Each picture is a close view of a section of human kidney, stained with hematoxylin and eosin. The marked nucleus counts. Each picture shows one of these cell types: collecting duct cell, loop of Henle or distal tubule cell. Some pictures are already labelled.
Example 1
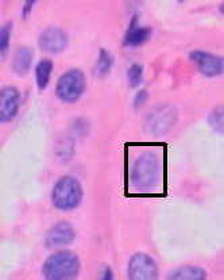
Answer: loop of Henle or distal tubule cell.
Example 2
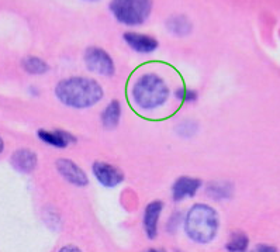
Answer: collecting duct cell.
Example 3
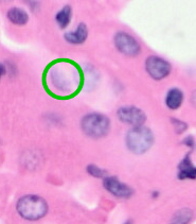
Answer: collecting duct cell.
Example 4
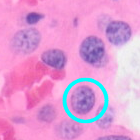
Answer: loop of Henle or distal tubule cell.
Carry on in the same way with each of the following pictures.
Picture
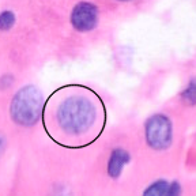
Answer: loop of Henle or distal tubule cell.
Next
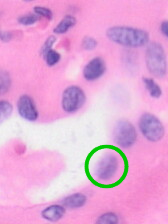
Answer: collecting duct cell.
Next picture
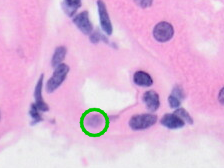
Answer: collecting duct cell.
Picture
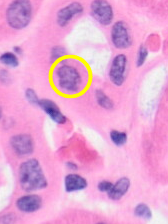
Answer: collecting duct cell.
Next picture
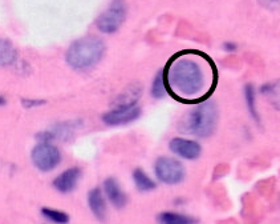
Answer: collecting duct cell.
